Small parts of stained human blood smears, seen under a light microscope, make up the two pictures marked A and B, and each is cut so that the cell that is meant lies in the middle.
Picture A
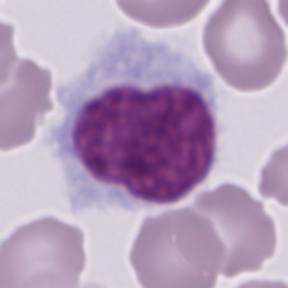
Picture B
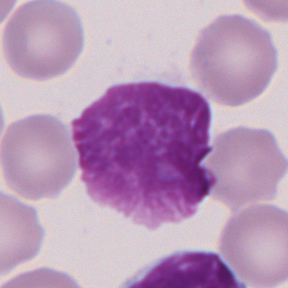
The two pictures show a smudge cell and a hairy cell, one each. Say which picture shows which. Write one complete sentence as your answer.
Picture A shows a hairy cell and picture B shows a smudge cell.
